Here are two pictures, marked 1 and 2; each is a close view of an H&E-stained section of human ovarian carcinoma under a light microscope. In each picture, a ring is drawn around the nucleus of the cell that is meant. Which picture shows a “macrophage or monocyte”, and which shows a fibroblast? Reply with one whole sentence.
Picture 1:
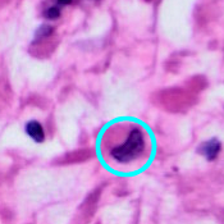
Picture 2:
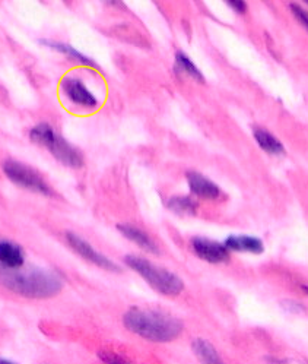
Picture 1 shows a “macrophage or monocyte” and picture 2 shows a fibroblast.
